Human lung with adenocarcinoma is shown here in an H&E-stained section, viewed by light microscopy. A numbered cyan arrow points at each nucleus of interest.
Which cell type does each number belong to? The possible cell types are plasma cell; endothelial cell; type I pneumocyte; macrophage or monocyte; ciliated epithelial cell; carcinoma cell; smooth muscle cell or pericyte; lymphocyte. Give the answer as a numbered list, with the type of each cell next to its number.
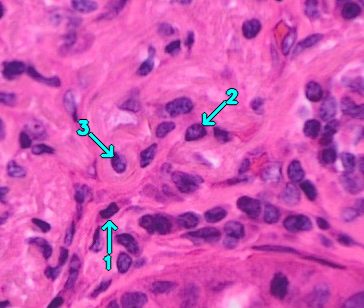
1. plasma cell
2. plasma cell
3. lymphocyte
